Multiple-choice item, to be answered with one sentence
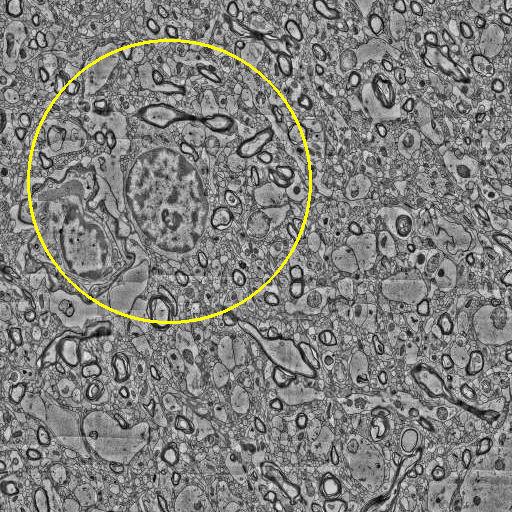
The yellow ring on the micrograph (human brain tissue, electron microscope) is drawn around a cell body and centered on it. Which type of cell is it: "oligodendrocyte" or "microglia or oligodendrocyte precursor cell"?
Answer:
The ring is centered on an oligodendrocyte.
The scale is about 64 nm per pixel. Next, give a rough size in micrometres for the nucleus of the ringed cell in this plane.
The nucleus has a long axis of about 7 micrometres and a short axis of about 5 micrometres in this plane.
